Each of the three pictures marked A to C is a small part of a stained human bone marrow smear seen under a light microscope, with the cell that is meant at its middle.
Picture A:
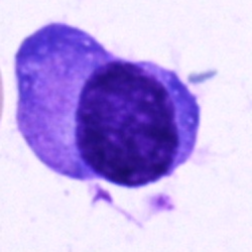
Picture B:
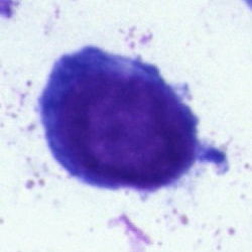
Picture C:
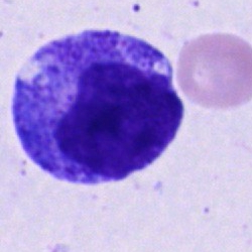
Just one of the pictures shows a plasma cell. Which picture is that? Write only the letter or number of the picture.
A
